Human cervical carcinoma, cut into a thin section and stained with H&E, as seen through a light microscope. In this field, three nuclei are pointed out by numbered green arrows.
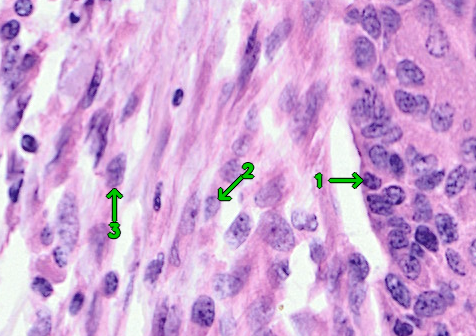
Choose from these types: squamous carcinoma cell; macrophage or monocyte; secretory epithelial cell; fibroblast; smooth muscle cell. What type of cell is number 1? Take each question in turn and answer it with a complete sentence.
Cell 1, as marked in the section, is a squamous carcinoma cell.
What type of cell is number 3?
The cell referred to as 3 is a macrophage or monocyte.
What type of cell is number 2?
What the number 2 marks in this field is a fibroblast.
